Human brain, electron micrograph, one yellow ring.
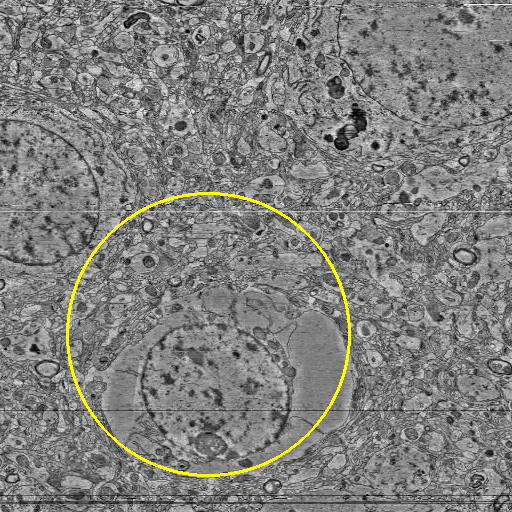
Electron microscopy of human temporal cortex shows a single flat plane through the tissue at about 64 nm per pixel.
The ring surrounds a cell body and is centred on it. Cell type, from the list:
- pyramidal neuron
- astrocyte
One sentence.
The yellow ring circles an astrocyte.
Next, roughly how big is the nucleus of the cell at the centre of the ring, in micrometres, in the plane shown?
In this plane, roughly 9 micrometres across.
